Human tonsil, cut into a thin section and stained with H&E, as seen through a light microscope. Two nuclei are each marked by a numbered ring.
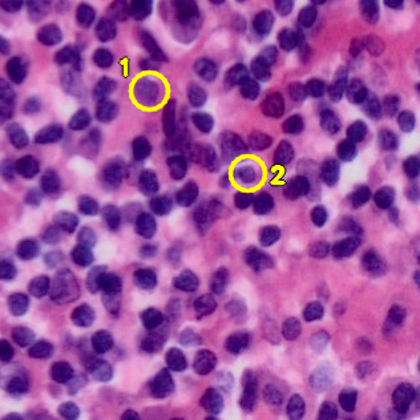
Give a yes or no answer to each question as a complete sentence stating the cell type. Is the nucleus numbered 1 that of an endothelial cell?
Yes, the cell numbered 1 in this tissue is an endothelial cell.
